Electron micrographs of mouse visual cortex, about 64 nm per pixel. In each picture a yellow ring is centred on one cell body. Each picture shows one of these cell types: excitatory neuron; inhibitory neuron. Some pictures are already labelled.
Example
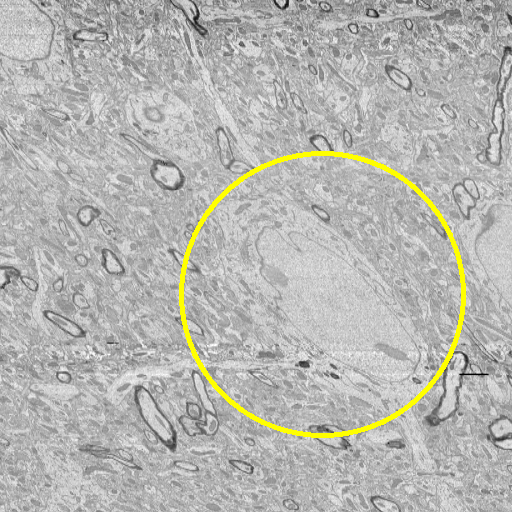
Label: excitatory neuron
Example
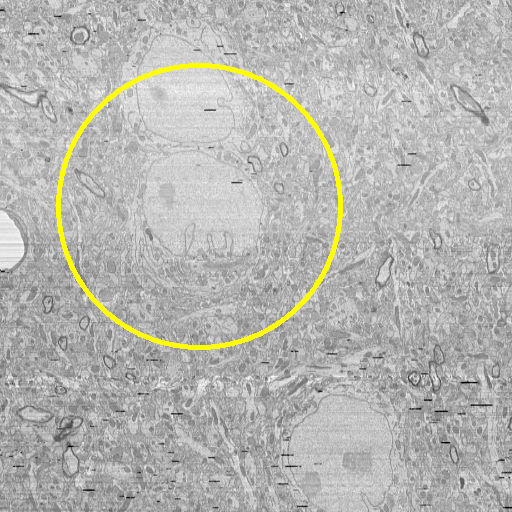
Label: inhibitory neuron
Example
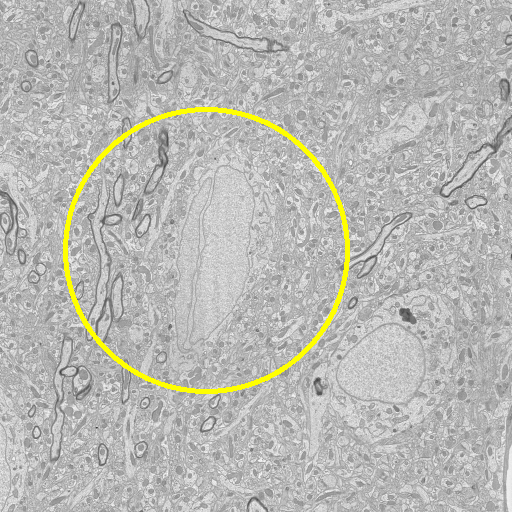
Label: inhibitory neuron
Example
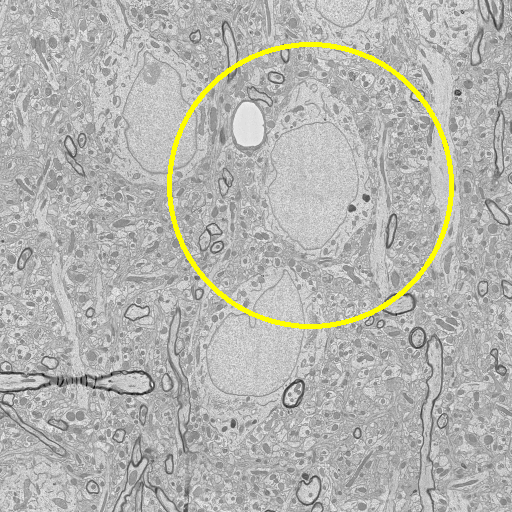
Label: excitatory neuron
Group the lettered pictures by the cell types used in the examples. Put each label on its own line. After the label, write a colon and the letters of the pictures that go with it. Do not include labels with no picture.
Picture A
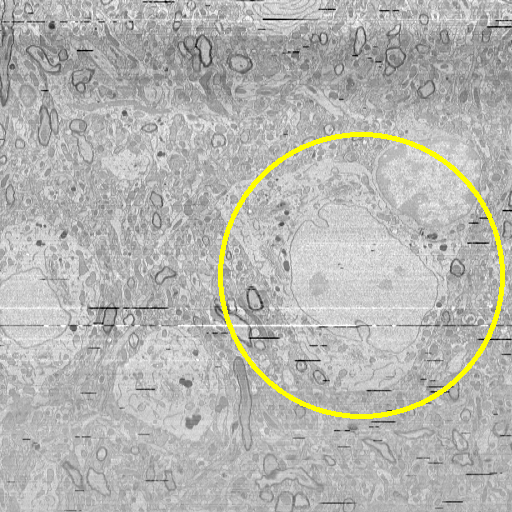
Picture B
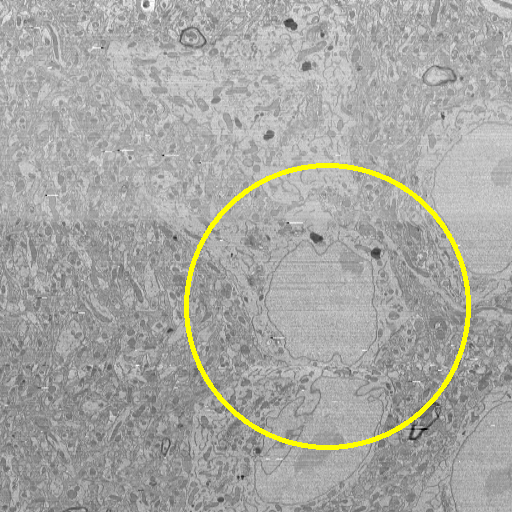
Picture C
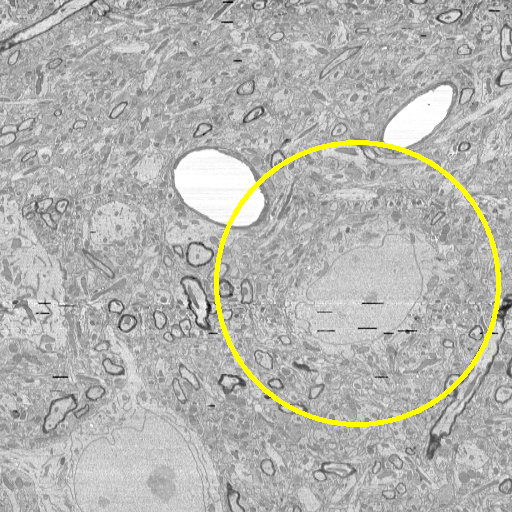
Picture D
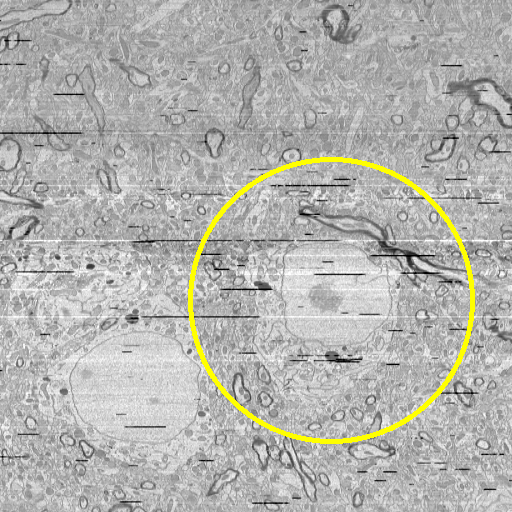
excitatory neuron: A, B, C
inhibitory neuron: D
